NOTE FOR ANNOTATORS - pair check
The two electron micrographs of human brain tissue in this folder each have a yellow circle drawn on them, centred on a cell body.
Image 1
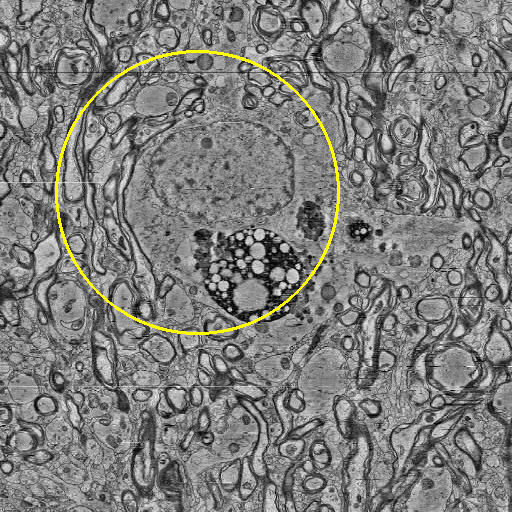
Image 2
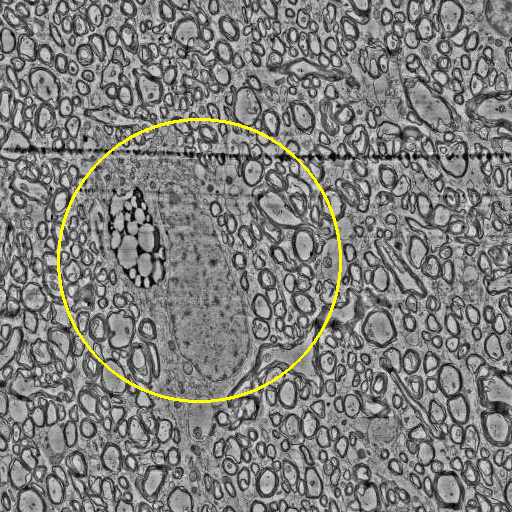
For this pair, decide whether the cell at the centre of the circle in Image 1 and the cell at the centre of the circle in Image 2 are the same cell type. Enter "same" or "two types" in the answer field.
same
